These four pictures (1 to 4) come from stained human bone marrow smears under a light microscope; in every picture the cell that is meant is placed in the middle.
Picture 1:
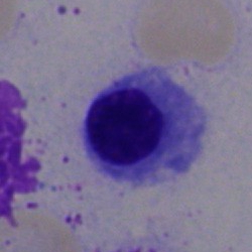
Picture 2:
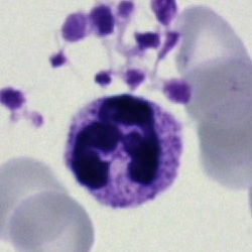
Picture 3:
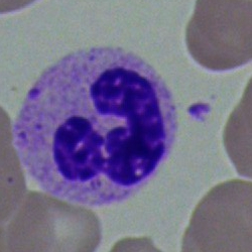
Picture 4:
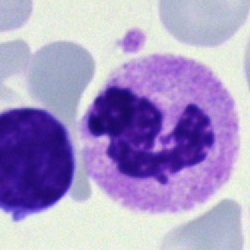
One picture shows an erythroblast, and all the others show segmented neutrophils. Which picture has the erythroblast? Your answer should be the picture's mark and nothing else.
1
